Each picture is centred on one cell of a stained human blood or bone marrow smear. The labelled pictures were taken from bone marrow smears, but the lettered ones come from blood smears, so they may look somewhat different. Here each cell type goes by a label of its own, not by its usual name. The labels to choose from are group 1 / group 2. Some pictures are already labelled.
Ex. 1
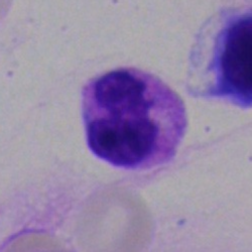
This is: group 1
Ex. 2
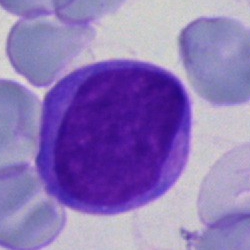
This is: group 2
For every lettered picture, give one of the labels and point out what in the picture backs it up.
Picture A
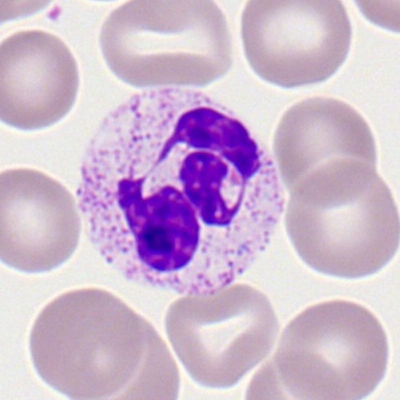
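group 1. Reason: The nucleus is divided into several lobes.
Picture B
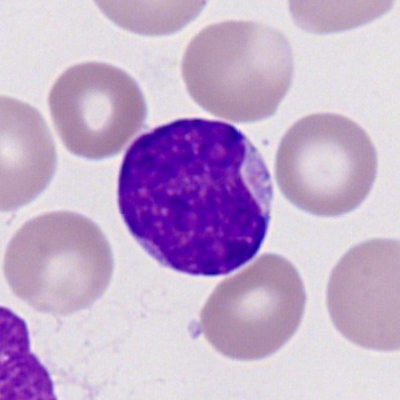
group 2. Reason: Only a scant amount of cytoplasm is visible, mostly as a crescent on the right.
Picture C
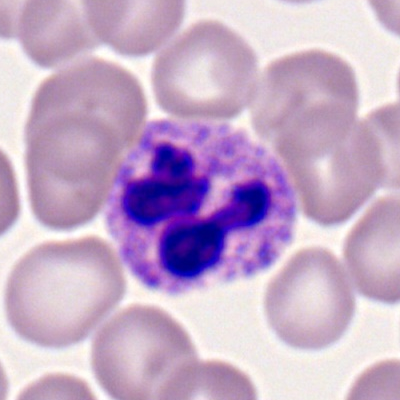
group 1. Reason: The cytoplasm is plentiful and pale pinkish.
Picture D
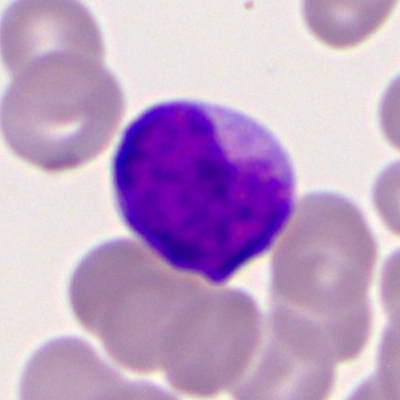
group 2. Reason: The nucleus fills most of the cell.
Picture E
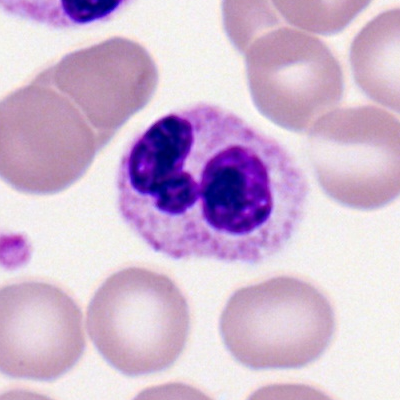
group 1. Reason: The cytoplasm is plentiful and pale pink.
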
